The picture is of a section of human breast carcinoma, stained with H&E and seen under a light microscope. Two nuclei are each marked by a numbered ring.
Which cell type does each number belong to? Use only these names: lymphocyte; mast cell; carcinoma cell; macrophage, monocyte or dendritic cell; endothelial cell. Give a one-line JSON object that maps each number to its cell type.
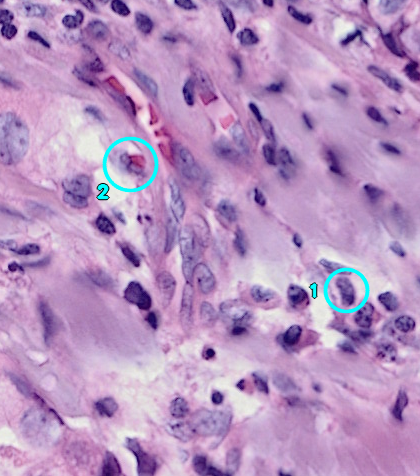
{"1": "lymphocyte", "2": "endothelial cell"}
